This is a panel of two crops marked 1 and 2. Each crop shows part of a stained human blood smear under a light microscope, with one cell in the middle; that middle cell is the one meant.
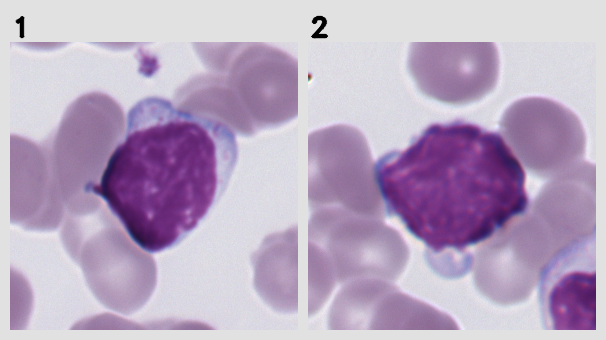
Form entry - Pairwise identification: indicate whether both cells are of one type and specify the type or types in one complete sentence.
Yes, in the case of both crops, the central cells are large granular lymphocytes.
